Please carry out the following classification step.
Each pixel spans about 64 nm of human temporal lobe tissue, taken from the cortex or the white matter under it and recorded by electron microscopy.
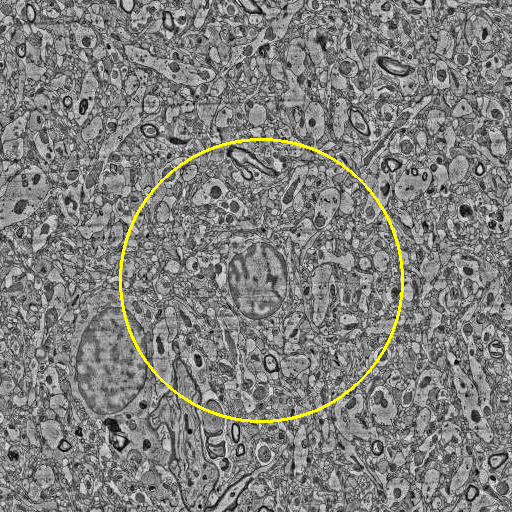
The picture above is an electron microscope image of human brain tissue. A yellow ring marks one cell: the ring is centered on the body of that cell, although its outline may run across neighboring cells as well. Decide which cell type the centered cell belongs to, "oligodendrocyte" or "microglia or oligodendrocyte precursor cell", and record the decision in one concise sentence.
The cell centered in the yellow ring is a microglial cell or oligodendrocyte precursor cell.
